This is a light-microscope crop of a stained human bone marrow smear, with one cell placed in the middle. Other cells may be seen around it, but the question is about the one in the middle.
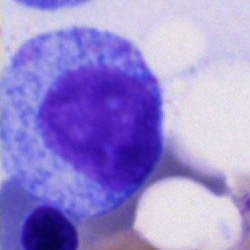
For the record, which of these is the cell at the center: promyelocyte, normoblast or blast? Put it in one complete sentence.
The crop shows a promyelocyte in its centre.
